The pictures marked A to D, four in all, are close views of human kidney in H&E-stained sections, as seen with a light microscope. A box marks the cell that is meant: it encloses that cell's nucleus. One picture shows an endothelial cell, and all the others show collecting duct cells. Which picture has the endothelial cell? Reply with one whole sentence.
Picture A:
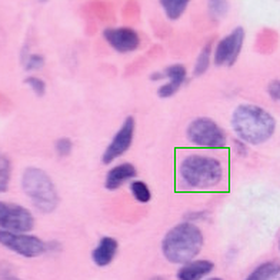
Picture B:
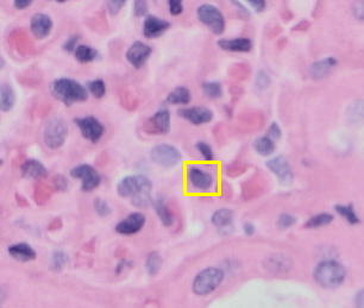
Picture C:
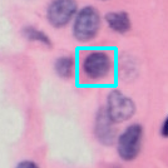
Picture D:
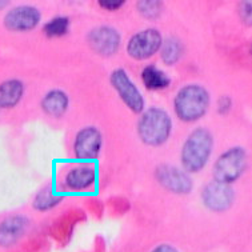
It is picture B that shows the endothelial cell.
